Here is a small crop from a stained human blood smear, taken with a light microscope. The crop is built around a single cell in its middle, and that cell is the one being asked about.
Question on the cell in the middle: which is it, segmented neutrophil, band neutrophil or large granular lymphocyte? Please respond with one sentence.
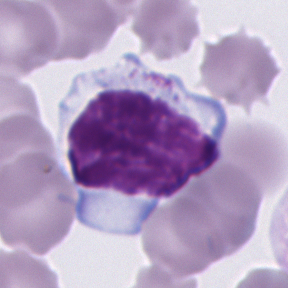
The cell under consideration, at the middle of the crop, is a large granular lymphocyte.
